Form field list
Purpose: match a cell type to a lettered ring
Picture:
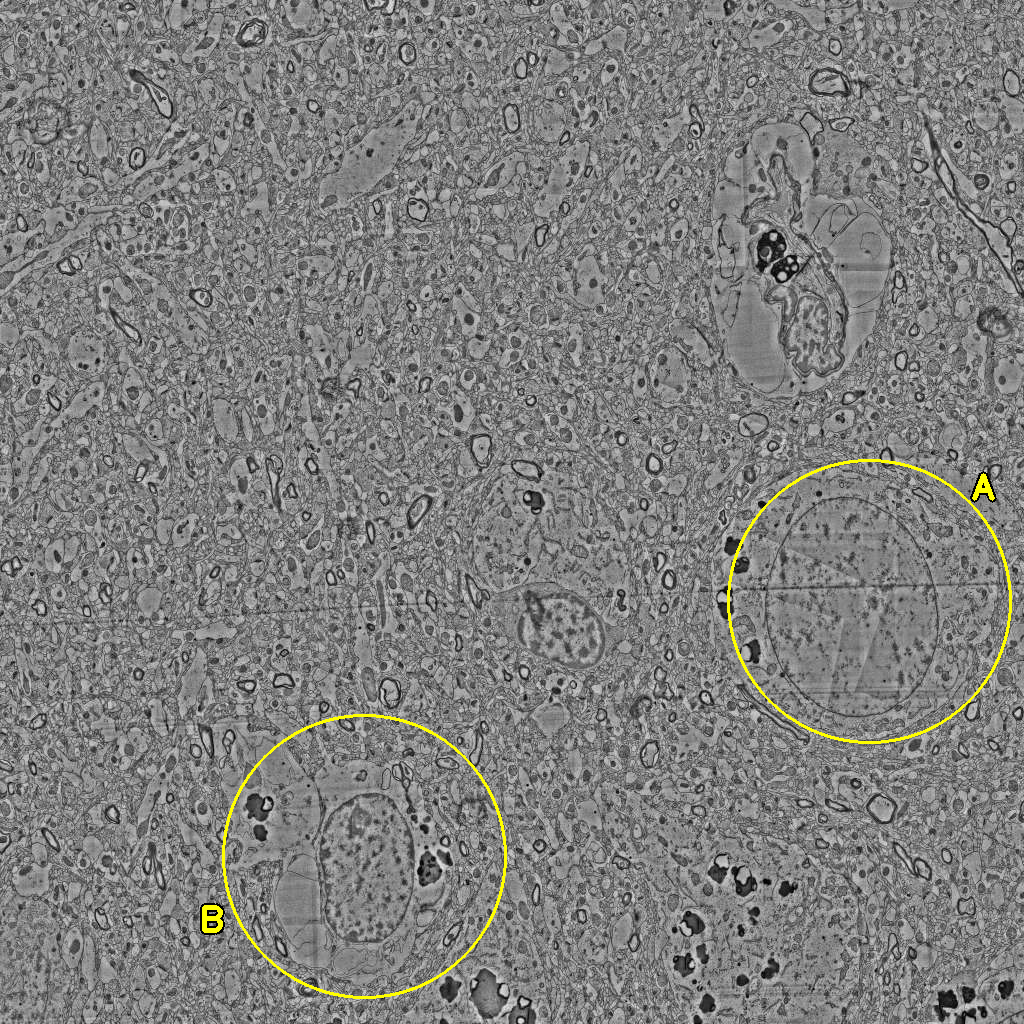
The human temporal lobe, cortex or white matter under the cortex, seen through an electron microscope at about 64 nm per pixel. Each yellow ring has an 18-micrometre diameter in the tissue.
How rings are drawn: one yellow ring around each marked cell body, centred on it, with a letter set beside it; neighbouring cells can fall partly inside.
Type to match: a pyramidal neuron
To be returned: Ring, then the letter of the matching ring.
Ring A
